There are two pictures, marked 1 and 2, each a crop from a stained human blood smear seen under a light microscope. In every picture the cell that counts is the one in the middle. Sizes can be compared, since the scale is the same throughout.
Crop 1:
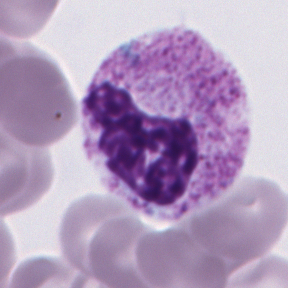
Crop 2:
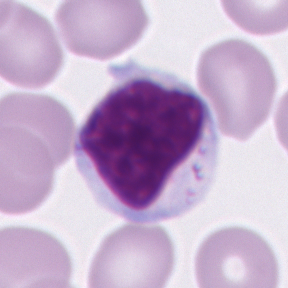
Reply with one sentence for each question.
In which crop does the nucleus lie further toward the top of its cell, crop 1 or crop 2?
The nucleus in crop 2 lies further toward the top of its cell.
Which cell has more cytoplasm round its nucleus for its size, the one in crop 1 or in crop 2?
Of the two, the nucleus in crop 1 leaves more room for cytoplasm.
